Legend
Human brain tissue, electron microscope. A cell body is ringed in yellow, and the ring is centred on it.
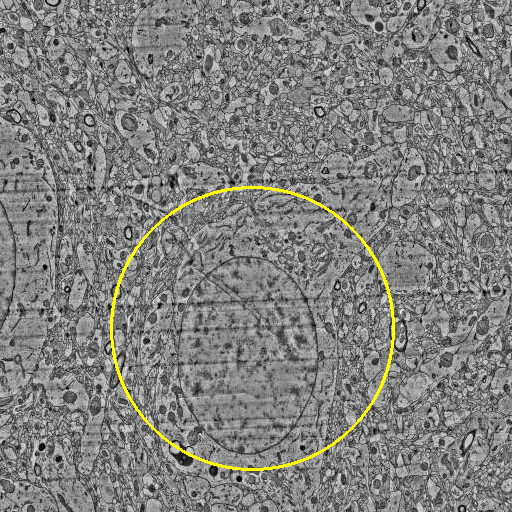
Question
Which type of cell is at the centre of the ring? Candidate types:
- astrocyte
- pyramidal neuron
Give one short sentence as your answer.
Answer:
The yellow ring is centred here on a pyramidal neuron.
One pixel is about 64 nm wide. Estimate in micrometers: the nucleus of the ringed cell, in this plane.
In this plane the nucleus is about 13 micrometres by 9.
